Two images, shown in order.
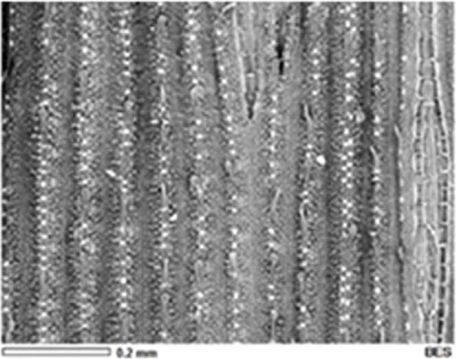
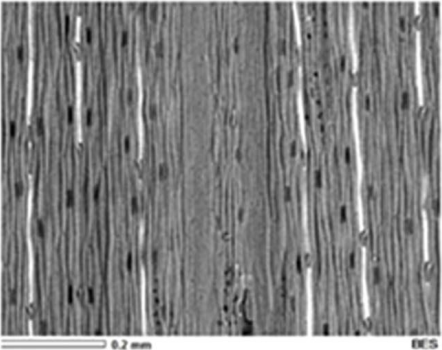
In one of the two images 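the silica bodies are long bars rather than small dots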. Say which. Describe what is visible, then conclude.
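First image: the bright bodies are small dots in many dense rows. Second image: the bright bodies are long narrow bars in a few sparse rows.
Hence: the second image.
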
